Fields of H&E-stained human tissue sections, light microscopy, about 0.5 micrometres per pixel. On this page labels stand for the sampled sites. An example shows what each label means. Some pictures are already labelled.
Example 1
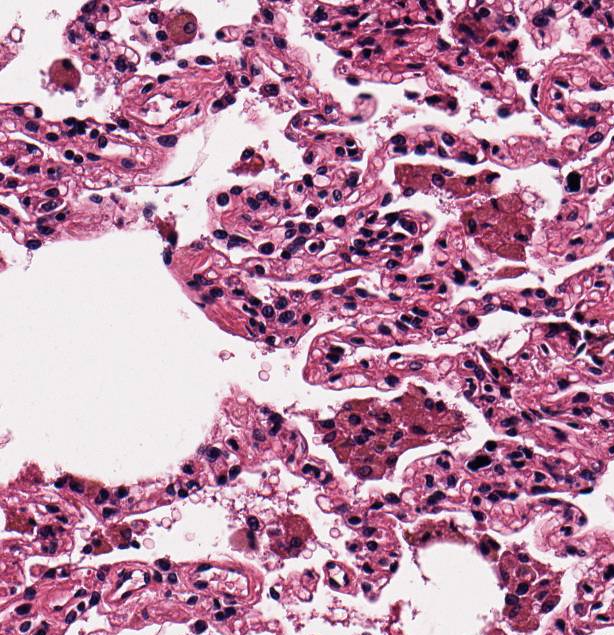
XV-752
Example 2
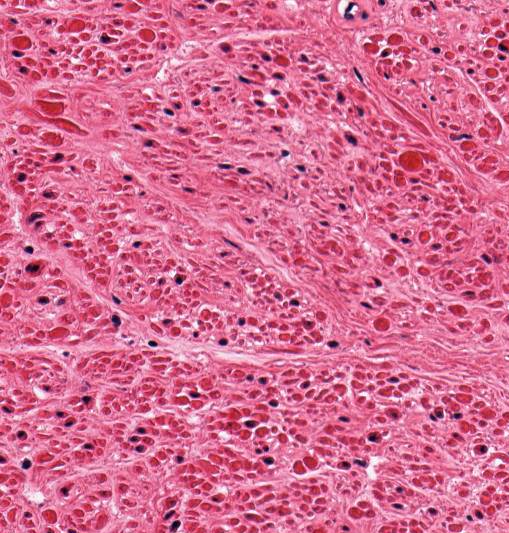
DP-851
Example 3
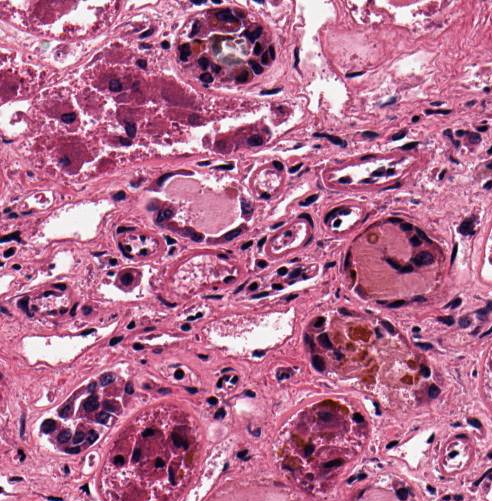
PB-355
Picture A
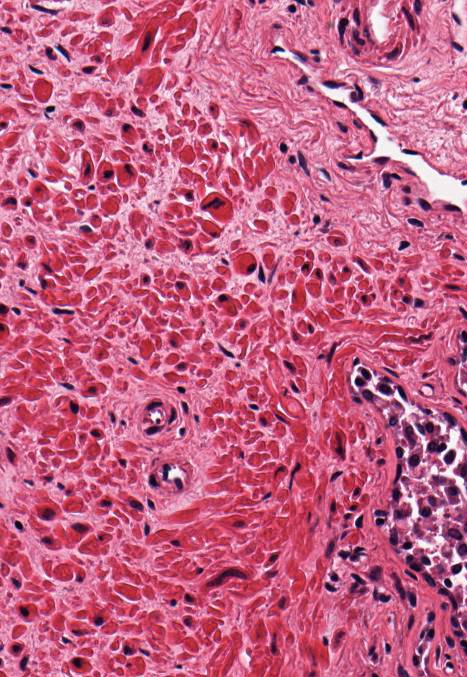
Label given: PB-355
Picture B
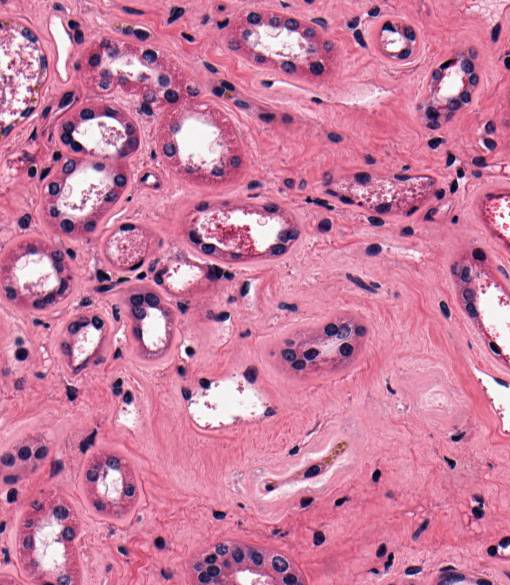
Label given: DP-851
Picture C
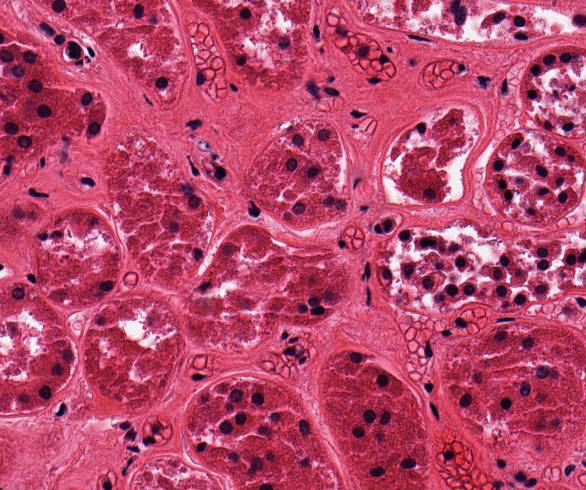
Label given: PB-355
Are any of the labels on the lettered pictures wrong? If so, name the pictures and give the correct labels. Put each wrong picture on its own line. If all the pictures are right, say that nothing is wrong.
A is labelled PB-355; correct label: DP-851
B is labelled DP-851; correct label: PB-355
